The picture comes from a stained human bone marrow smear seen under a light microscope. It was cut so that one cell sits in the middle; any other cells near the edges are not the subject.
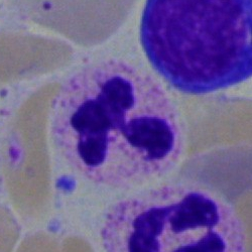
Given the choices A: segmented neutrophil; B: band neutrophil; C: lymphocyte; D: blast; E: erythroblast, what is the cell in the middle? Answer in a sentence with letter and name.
The correct option, A, names the middle cell as a segmented neutrophil.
